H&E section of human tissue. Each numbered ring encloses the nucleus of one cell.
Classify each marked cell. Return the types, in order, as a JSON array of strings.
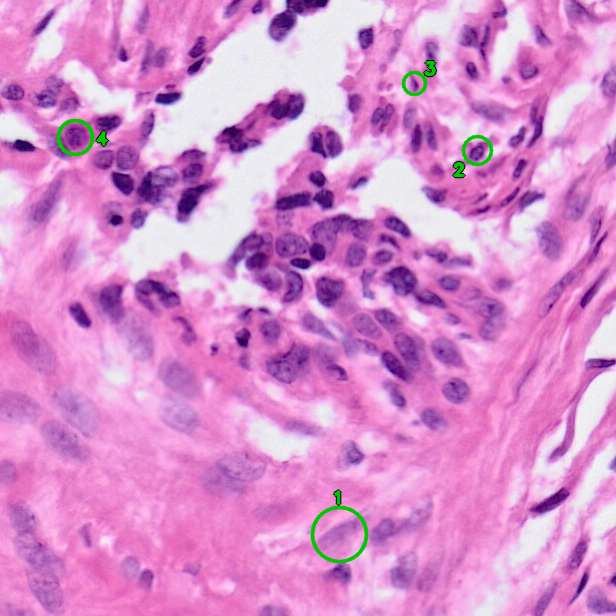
["fibroblast", "fibroblast", "fibroblast", "carcinoma cell"]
